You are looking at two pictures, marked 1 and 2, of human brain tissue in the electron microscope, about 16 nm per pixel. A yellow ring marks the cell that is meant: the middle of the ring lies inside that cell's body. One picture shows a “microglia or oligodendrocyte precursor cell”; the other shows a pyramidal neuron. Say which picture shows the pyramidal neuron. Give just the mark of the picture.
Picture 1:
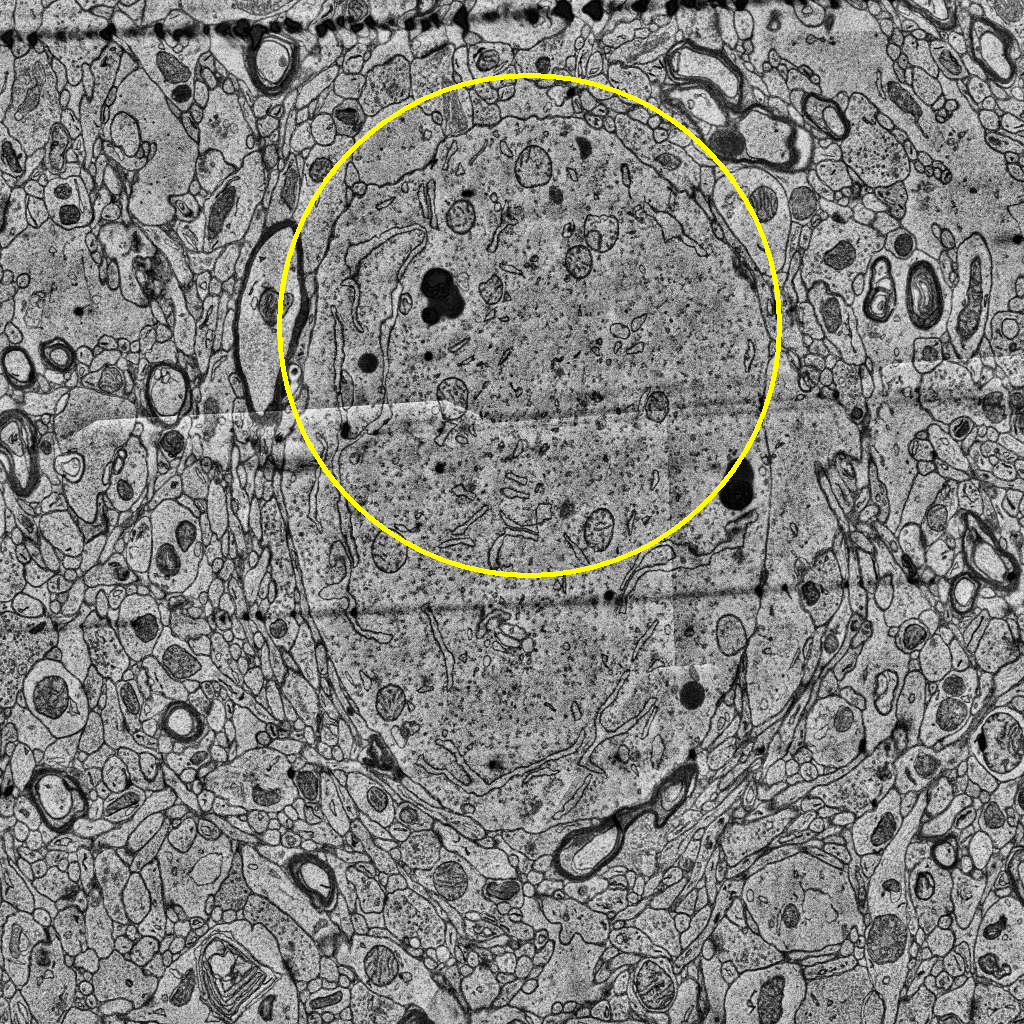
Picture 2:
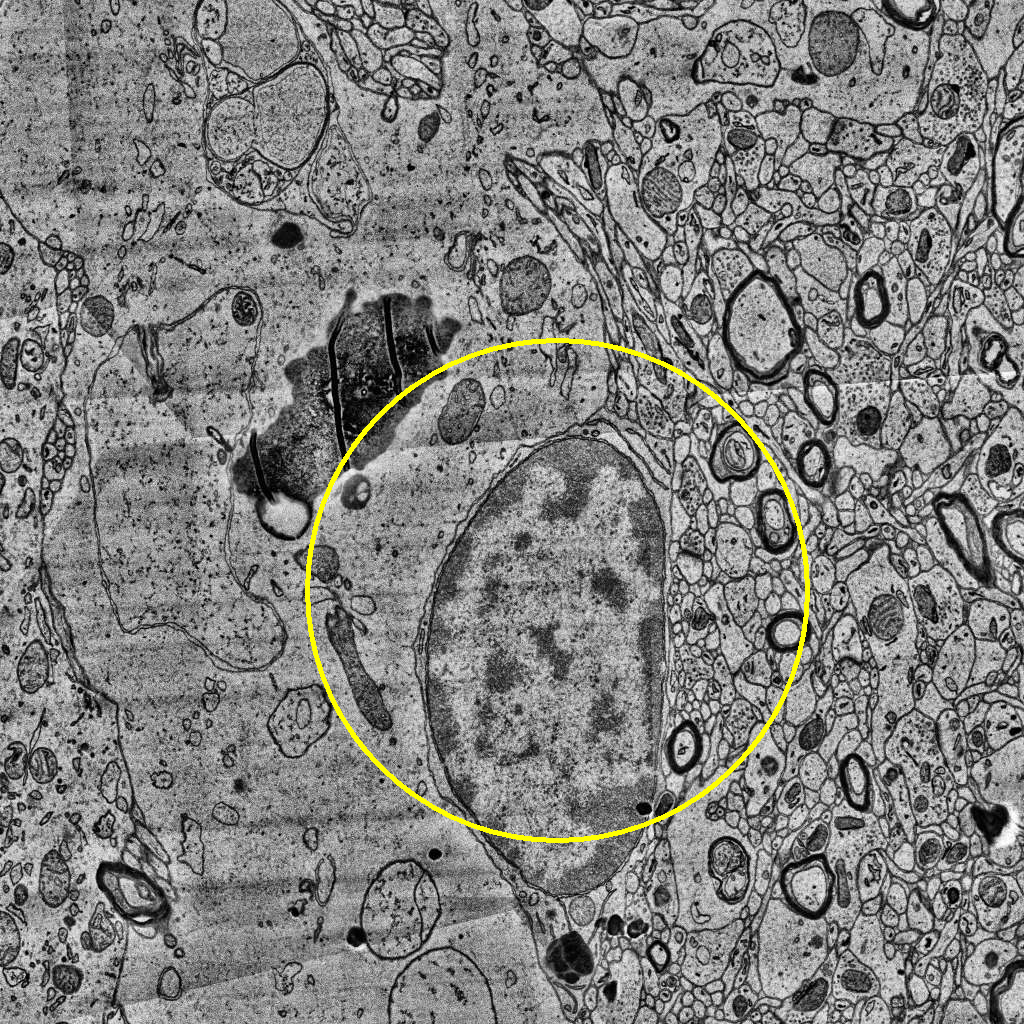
1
